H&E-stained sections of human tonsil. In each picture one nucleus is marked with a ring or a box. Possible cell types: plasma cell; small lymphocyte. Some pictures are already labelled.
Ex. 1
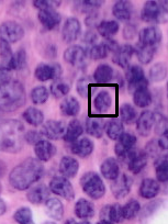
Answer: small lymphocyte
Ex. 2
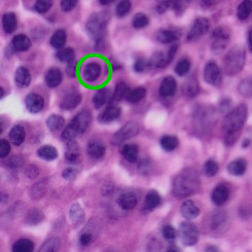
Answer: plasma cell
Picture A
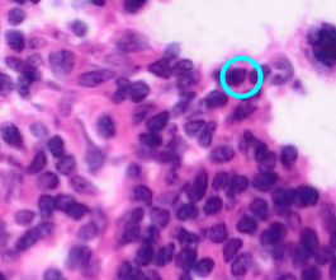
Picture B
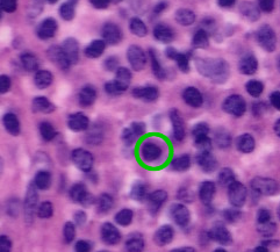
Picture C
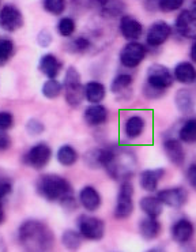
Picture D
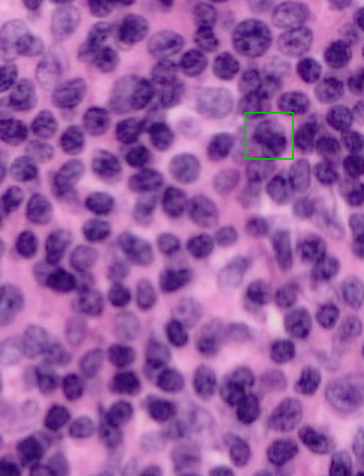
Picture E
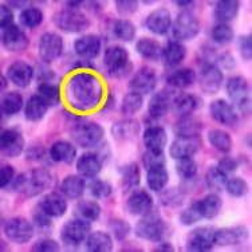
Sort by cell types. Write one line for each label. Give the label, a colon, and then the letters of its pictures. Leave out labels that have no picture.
plasma cell: B
small lymphocyte: A, C, D, E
